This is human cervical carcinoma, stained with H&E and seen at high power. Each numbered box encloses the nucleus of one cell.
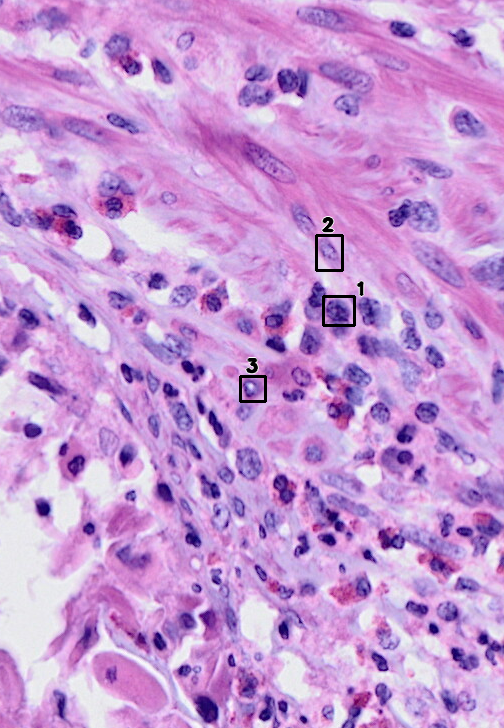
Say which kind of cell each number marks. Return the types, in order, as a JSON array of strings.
["lymphocyte", "smooth muscle cell", "smooth muscle cell"]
